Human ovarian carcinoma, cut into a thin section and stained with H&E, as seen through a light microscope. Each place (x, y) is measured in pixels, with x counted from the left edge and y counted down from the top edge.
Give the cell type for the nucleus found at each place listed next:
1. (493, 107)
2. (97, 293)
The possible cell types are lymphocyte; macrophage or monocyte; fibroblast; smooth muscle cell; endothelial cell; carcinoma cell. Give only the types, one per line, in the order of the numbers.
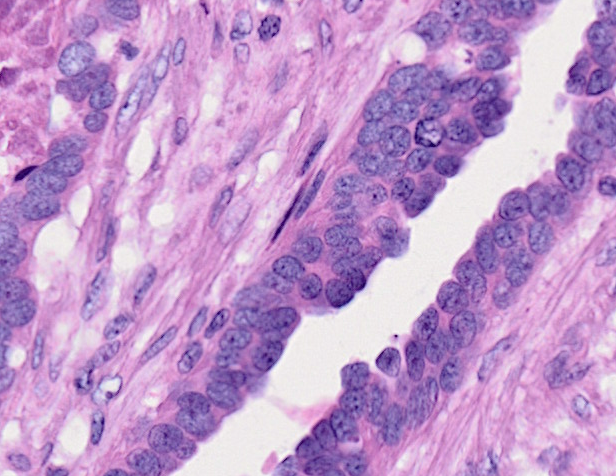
carcinoma cell
fibroblast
